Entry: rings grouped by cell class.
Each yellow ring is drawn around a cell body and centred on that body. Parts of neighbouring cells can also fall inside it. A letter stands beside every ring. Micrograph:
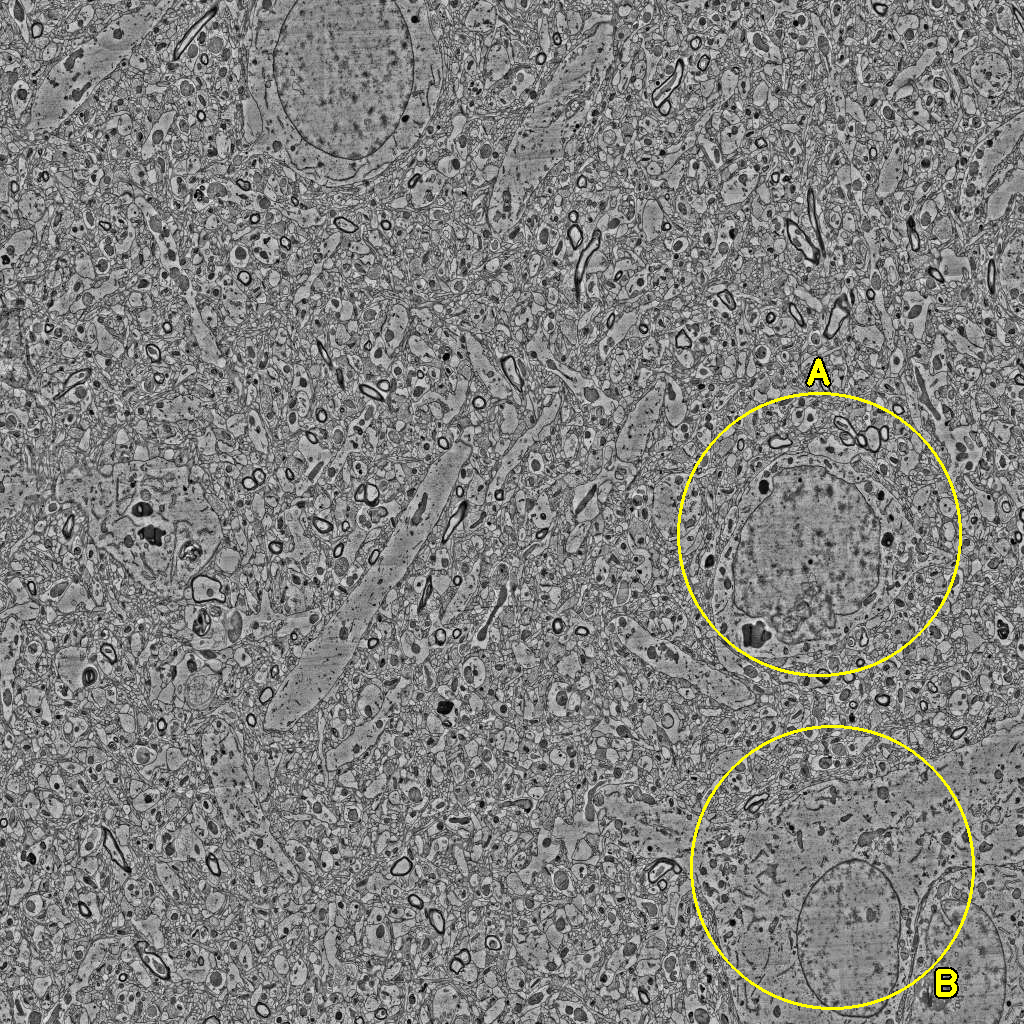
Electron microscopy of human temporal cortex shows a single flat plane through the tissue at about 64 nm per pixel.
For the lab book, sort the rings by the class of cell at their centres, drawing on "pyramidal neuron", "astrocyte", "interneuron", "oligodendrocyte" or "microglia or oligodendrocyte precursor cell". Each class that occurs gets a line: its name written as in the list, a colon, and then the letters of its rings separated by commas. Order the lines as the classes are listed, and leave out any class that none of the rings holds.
pyramidal neuron: B
interneuron: A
